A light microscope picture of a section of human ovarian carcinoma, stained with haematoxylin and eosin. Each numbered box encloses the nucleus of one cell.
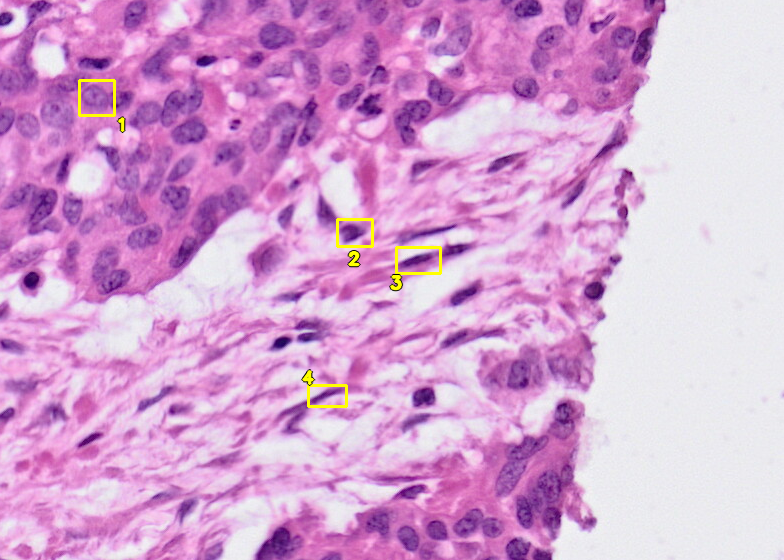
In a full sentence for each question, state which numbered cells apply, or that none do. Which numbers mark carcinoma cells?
As for the numbered cells, only cell 1 is a carcinoma cell.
